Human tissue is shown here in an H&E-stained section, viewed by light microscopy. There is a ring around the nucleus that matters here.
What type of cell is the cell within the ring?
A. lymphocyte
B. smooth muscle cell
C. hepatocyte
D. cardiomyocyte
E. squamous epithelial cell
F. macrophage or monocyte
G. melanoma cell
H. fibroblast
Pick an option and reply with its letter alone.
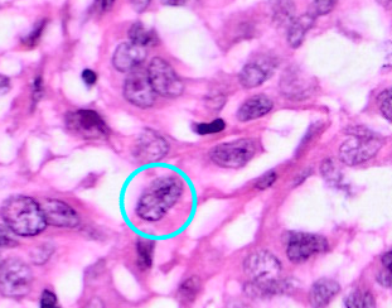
G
